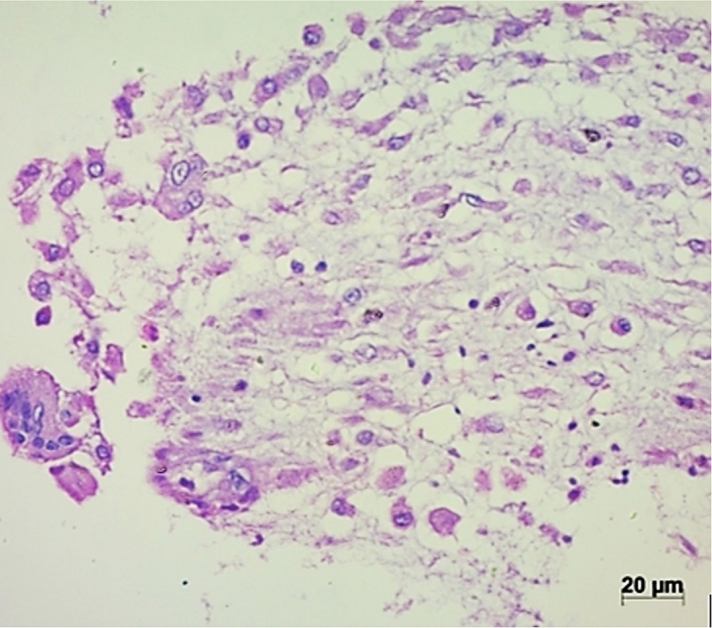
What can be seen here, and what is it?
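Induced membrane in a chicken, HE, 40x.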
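This loose connective tissue contains an inflammatory infiltrate of mononuclear cells and multinucleated cells. The background is pale and wispy, with a delicate pink fibrillar matrix and many clear spaces. Scattered through it are rounded to oval cells. Small, dark, compact nuclei are also present. At the frayed edge of the tissue lie large cells, each with several nuclei clustered within an abundant pink cytoplasm. A second such cell sits lower, near the same border.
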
